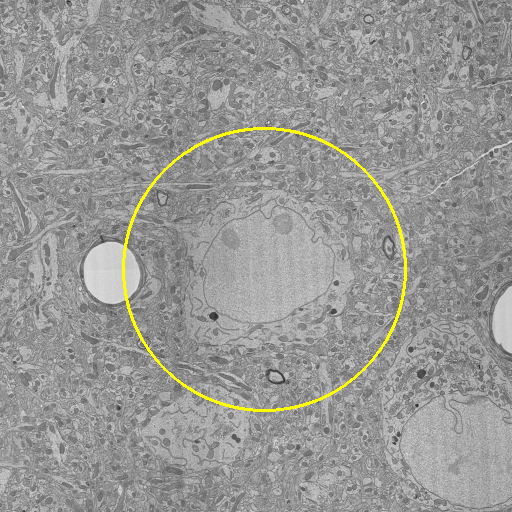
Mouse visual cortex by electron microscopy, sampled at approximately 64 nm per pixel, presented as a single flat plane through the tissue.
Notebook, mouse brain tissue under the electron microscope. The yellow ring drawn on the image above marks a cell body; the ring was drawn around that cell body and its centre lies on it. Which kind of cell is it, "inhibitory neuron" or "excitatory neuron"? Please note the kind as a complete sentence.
The marked cell body is that of an excitatory neuron.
